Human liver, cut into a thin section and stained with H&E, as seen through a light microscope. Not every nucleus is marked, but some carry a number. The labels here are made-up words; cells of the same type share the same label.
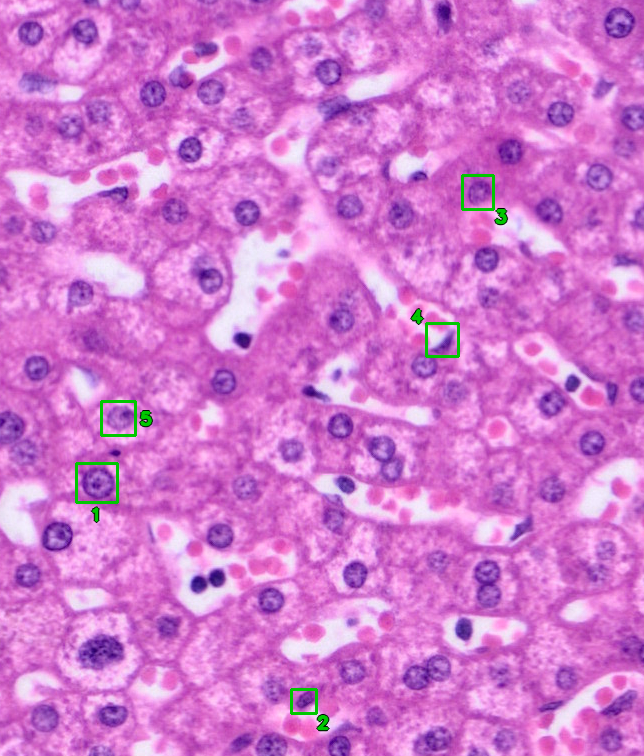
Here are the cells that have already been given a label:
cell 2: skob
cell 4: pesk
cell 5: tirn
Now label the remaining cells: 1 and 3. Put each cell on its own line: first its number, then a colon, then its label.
1: tirn
3: tirn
